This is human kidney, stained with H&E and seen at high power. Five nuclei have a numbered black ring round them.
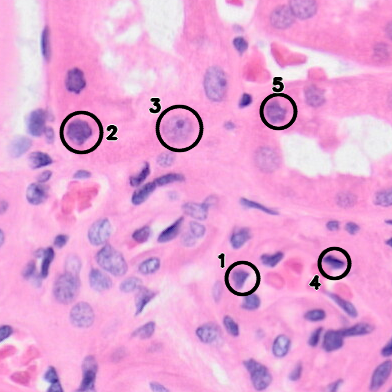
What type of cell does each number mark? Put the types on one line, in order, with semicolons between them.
endothelial cell; proximal tubule cell; proximal tubule cell; endothelial cell; proximal tubule cell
